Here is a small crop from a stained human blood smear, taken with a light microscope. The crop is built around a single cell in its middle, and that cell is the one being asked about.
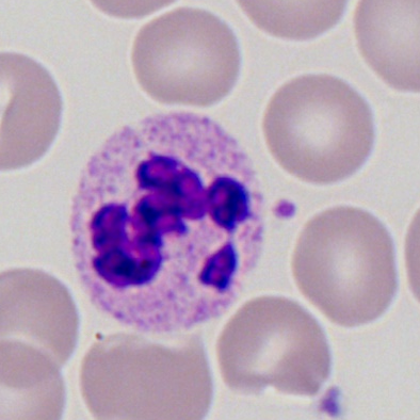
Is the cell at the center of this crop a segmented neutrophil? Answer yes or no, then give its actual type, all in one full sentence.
Yes, the cell found in the middle is a segmented neutrophil.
